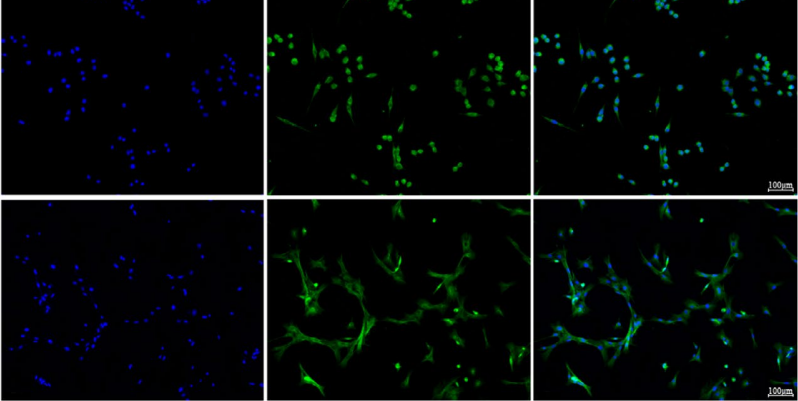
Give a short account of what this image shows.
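In the upper row the cells are mostly small and rounded, their green cytoplasm forming a compact rim or cap around each nucleus, with a few short processes. In the lower row many cells are elongated and spindle-shaped or bipolar, with long, thin green processes that extend from the cell body and often touch those of neighbouring cells, forming a loose network; rounded cells lie among them.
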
